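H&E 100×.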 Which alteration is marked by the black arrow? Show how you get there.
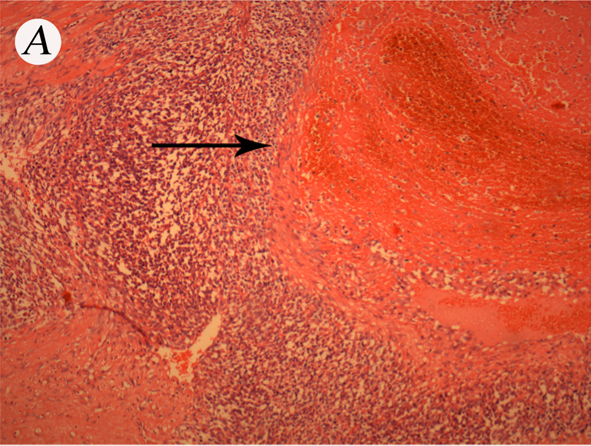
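Densely packed dark-nucleated cells lie on the other side of the border.
Conclusion: necrosis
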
